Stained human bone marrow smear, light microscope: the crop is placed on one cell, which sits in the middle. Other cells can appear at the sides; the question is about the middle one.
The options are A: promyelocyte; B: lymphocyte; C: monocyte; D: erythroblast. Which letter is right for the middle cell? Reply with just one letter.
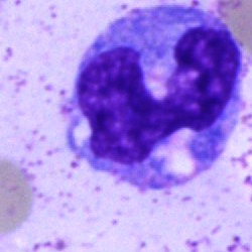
C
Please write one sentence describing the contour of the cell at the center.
The cell shows a smooth outline that lacks any surface projections.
